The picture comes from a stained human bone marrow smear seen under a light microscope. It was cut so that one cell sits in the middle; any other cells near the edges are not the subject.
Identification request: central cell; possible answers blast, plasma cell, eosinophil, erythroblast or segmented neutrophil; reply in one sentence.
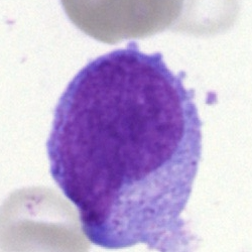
For this crop, the central cell is a blast.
